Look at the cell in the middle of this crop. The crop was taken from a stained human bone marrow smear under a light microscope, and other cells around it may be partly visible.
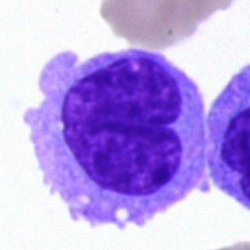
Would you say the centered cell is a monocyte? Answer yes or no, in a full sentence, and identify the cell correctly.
Yes, the cell shown in the middle is a monocyte.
